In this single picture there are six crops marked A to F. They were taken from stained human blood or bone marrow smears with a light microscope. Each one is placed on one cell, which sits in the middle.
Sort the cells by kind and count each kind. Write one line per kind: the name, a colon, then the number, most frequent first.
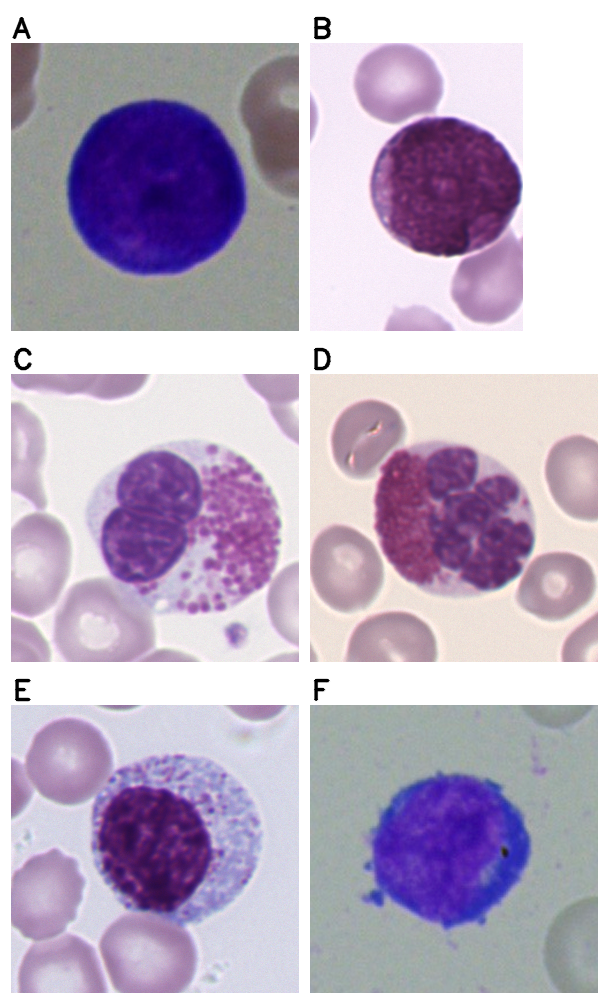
blast: 3
eosinophil: 2
myelocyte: 1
